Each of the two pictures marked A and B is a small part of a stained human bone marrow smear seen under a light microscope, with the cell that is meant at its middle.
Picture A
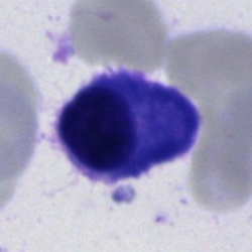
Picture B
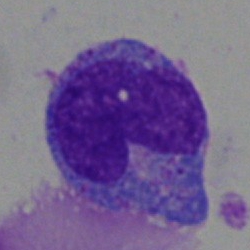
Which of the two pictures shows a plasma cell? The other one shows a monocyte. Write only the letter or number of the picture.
A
